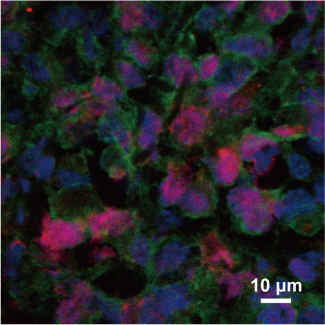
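The cells have large round to oval nuclei, many of which are filled with red-pink staining while others are blue only. Green staining outlines the cell borders and cytoplasm of most cells. The cells are crowded in a solid sheet without obvious glandular arrangement.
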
